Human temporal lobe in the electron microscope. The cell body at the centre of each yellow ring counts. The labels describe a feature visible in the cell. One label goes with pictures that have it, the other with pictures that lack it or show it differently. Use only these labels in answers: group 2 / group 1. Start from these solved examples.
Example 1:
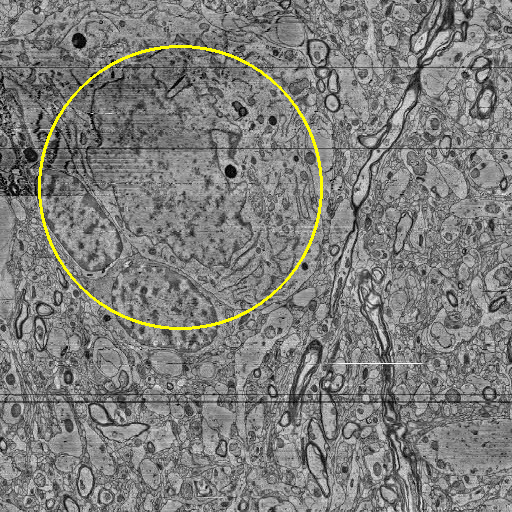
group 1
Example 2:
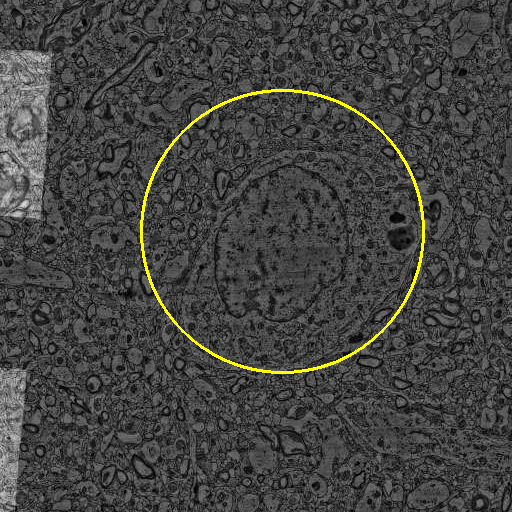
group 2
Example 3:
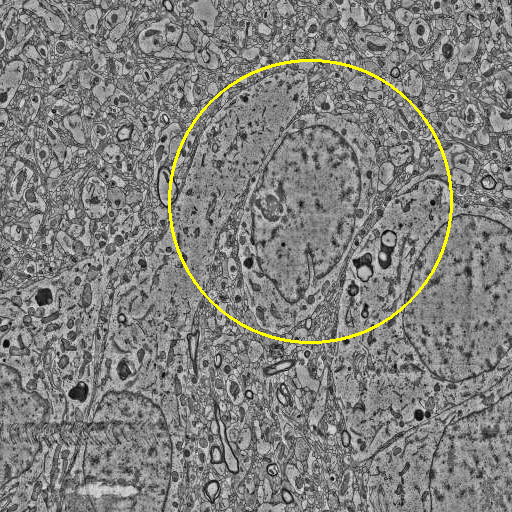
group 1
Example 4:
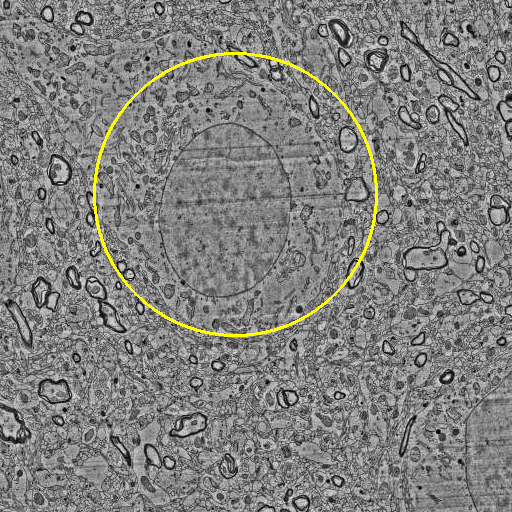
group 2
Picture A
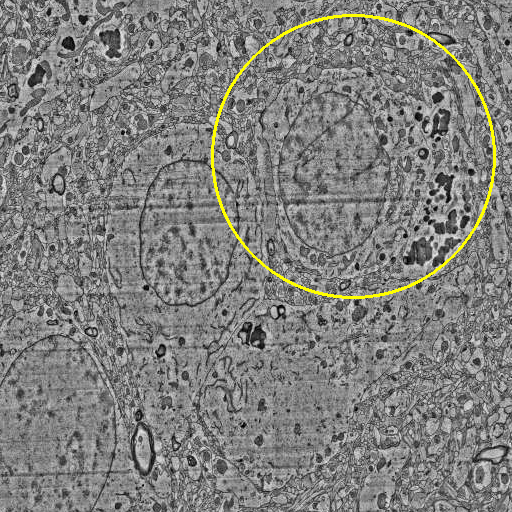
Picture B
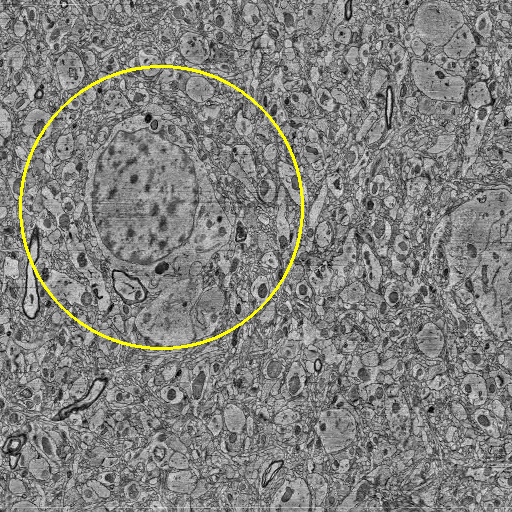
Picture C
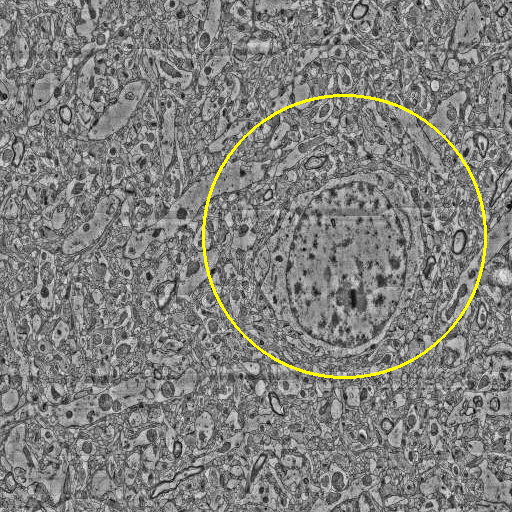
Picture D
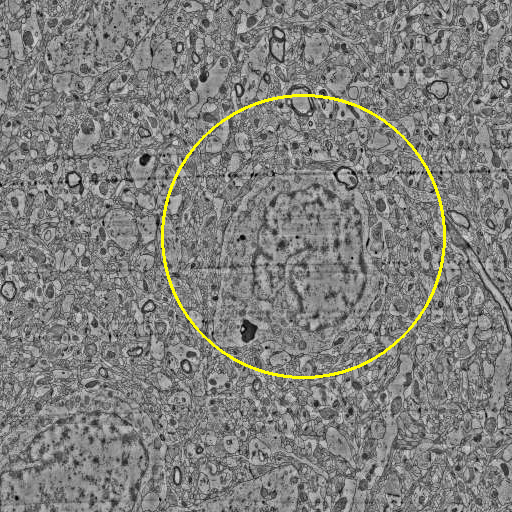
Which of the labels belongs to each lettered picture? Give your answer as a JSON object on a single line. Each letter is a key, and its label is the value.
{"A": "group 1", "B": "group 2", "C": "group 2", "D": "group 1"}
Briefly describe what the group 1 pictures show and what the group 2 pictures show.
group 1, deeply folded or indented nuclear envelopes; group 2, smooth nuclear envelopes without deep folds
